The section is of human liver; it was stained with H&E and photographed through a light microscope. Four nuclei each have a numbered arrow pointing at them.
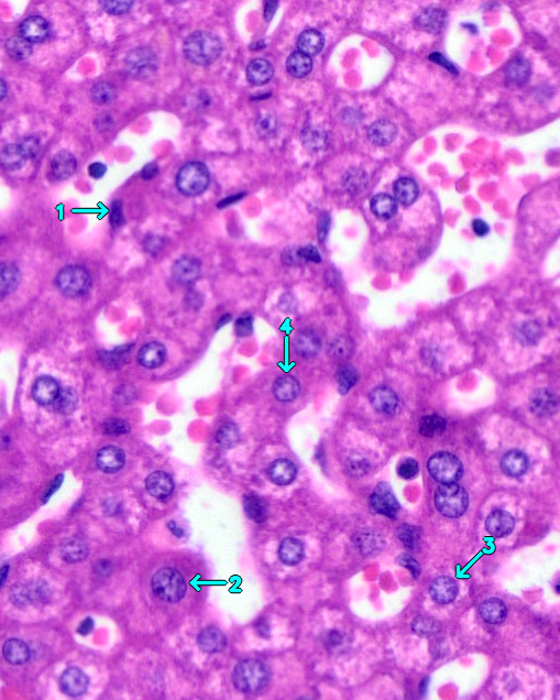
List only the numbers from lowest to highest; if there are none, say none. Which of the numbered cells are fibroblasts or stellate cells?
1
